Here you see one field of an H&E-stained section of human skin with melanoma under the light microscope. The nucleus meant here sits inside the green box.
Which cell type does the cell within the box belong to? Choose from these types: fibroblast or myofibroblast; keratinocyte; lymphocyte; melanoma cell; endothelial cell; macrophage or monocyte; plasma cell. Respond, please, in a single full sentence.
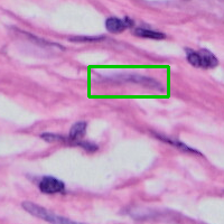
Students should answer that the cell within the box is a fibroblast or myofibroblast.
